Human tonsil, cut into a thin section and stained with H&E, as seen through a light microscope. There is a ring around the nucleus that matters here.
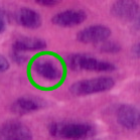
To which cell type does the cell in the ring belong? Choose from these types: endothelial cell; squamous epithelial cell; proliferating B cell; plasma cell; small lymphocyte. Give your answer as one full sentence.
The cell meant here is a squamous epithelial cell.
